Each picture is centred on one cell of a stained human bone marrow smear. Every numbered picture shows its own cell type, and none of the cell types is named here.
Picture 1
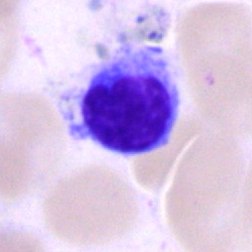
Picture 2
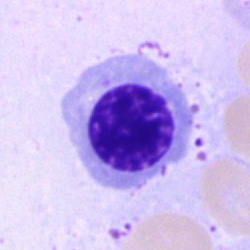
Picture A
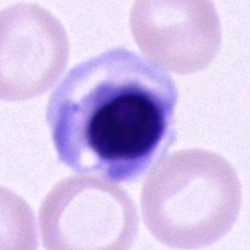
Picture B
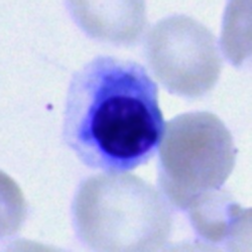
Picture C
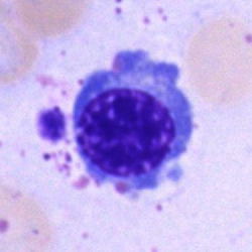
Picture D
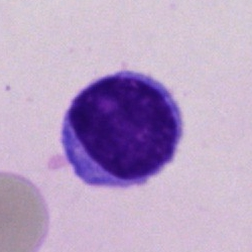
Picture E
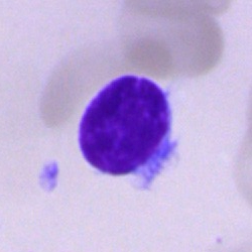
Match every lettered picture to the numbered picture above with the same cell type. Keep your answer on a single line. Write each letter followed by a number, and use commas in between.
A 2, B 2, C 2, D 1, E 1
